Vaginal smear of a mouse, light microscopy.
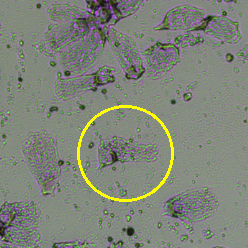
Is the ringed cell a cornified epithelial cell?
Yes, it is a cornified epithelial cell.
